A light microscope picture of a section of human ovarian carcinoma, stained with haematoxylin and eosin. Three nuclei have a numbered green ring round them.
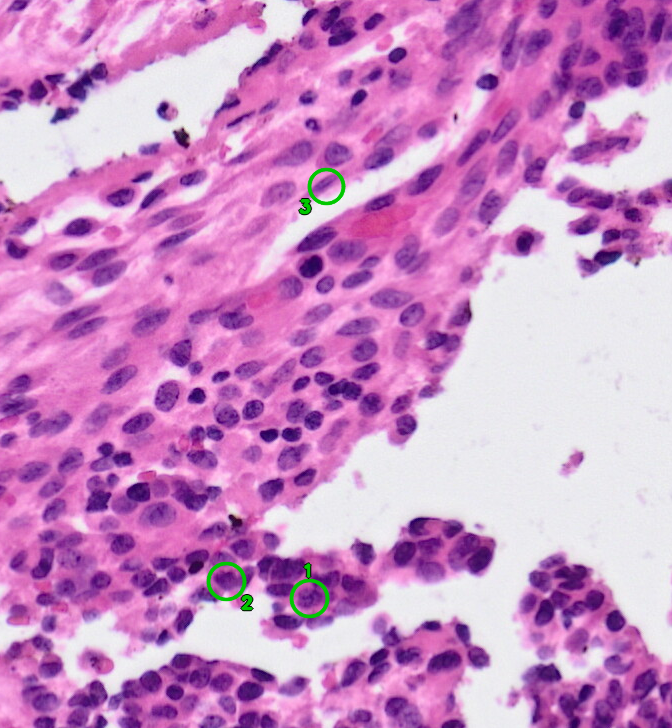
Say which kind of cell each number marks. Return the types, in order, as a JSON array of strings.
["carcinoma cell", "carcinoma cell", "fibroblast"]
